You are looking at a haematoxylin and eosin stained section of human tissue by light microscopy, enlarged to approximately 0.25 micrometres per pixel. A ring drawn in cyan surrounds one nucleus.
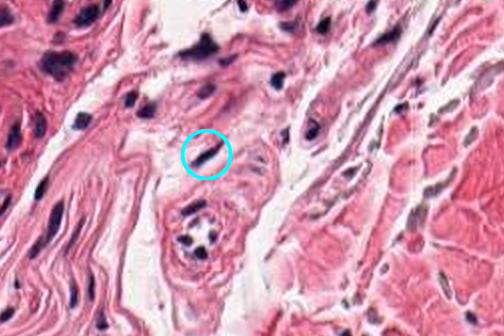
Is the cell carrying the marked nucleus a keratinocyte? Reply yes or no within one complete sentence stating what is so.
No, what the marked nucleus belongs to is a supporting cell, not a keratinocyte.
